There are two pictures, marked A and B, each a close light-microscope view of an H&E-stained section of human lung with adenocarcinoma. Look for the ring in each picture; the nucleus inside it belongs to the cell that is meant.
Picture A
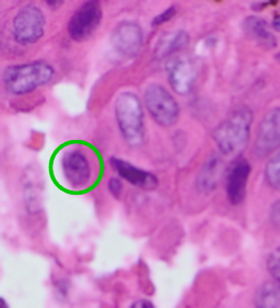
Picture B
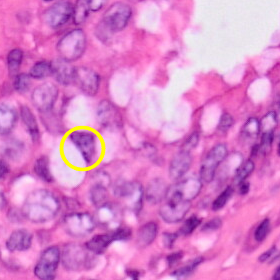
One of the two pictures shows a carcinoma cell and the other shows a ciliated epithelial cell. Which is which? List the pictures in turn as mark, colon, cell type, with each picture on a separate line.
A: carcinoma cell
B: ciliated epithelial cell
